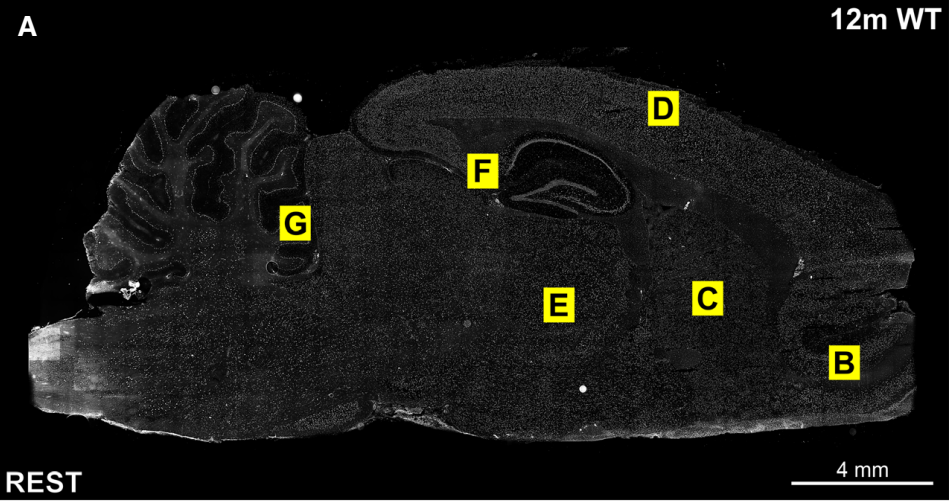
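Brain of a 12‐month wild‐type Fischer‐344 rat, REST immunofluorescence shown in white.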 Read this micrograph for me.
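Beneath lie the deep grey masses of the striatum in front and the thalamus further back. At the left sits the cerebellum, folded into many leaf-like lobules whose edges glow as thin bright lines, with darker white matter cores between them. The brainstem runs along the lower left. At this scale single cells show only as fine speckles scattered through the grey matter.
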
